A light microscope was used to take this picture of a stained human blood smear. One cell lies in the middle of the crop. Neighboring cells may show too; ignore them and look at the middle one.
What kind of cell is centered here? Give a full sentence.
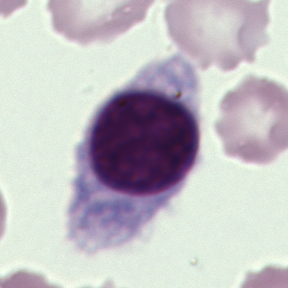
The cell sitting right in the middle is a hairy cell.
